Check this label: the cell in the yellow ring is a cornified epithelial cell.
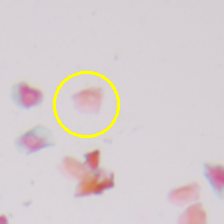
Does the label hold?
The label holds; the cell is a cornified epithelial cell.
